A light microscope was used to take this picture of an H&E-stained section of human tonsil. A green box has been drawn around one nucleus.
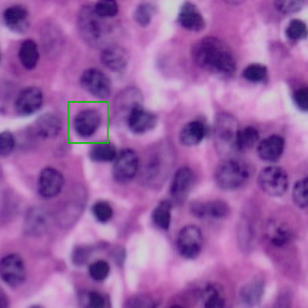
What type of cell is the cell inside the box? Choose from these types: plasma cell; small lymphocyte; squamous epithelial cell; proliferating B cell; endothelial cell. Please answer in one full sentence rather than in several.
In this tissue sample, the cell inside the box is a plasma cell.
